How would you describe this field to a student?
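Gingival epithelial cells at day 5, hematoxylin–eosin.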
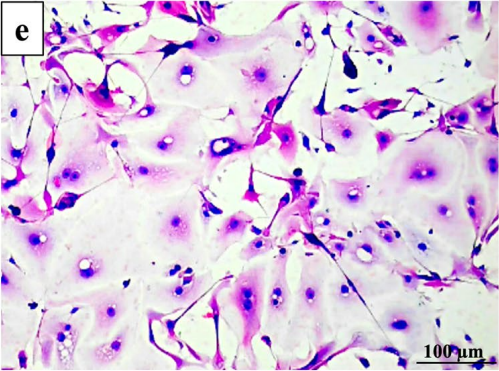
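Some cells show small clear vacuoles in the cytoplasm. Scattered among them are smaller, more deeply stained cells with elongated dark nuclei and thin, branching processes that stretch across the broad cells. The culture is not fully confluent, leaving white gaps of empty surface between groups of cells.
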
